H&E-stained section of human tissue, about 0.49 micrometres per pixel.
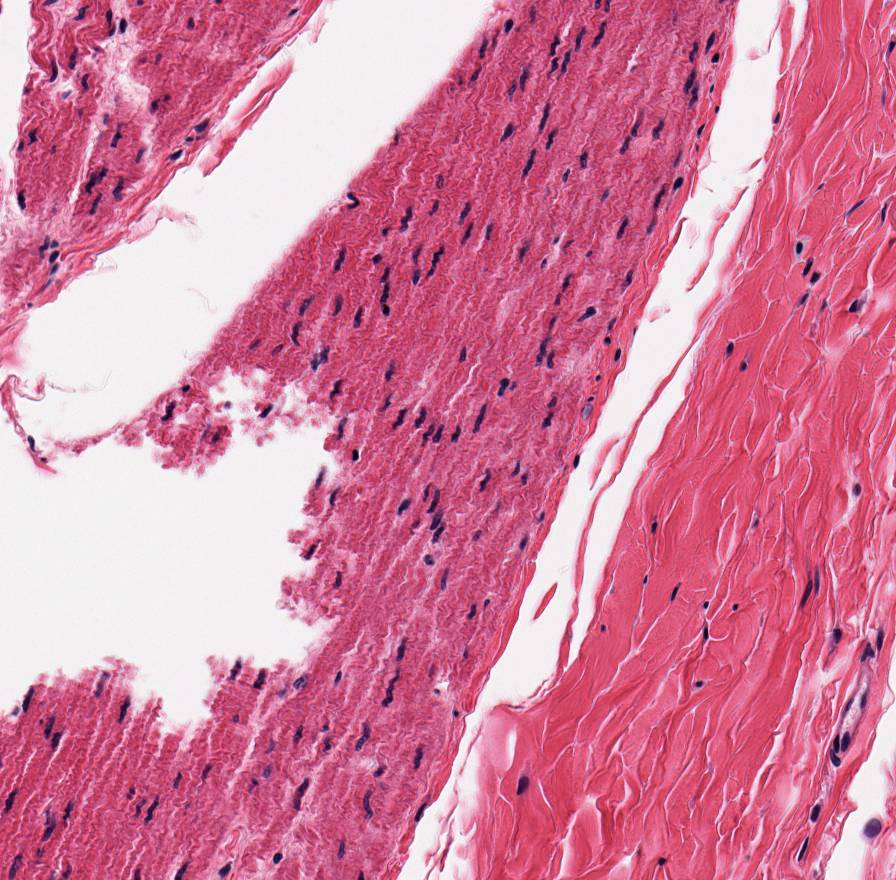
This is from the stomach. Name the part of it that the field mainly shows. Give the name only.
smooth muscle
